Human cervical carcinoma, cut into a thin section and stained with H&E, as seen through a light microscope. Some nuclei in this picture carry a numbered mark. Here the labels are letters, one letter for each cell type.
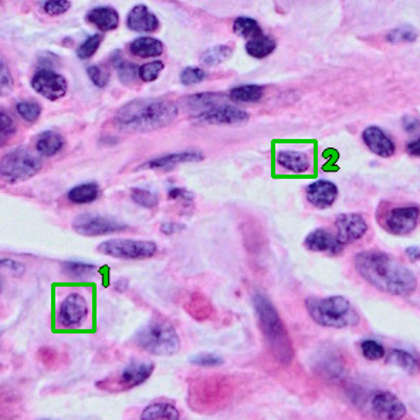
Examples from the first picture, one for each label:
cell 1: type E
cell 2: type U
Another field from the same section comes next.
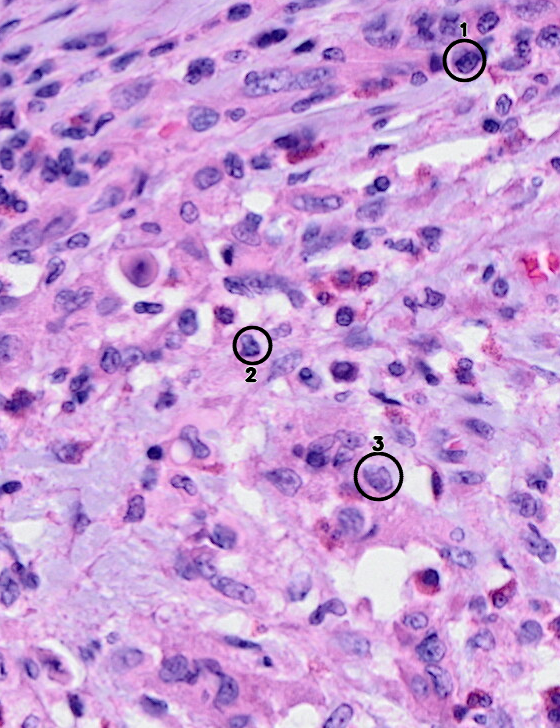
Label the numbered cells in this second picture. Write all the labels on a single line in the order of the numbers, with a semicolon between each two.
type U; type U; type E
